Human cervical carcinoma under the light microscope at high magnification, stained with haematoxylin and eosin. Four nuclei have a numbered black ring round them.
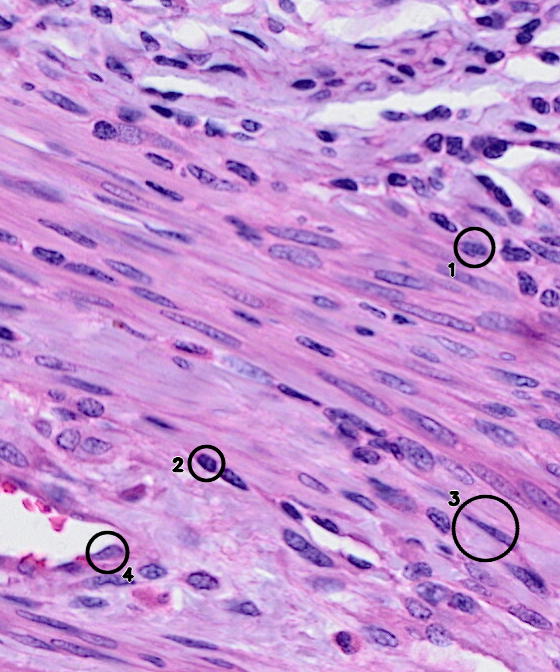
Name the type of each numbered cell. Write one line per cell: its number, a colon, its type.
1: lymphocyte
2: lymphocyte
3: fibroblast
4: endothelial cell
